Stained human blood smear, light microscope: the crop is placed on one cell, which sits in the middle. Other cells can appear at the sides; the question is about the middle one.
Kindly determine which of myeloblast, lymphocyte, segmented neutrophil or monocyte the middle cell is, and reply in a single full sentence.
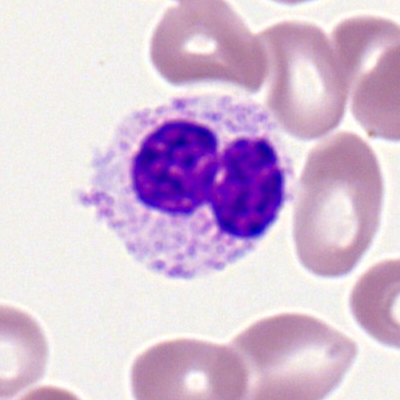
In this crop, the cell at the very middle is a segmented neutrophil.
